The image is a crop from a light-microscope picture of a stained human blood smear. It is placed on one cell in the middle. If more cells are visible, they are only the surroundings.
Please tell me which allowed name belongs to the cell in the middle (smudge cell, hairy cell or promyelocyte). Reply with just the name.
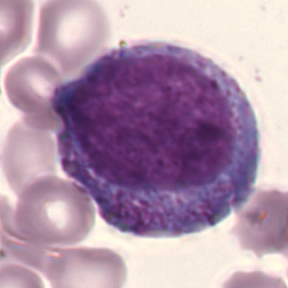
promyelocyte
